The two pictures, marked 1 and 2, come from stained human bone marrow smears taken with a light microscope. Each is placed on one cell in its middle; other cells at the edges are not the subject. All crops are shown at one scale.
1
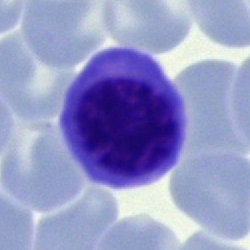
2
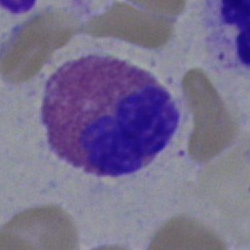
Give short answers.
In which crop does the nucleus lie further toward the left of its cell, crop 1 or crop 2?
1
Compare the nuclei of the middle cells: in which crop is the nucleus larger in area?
1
